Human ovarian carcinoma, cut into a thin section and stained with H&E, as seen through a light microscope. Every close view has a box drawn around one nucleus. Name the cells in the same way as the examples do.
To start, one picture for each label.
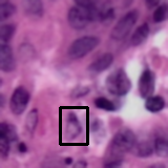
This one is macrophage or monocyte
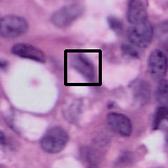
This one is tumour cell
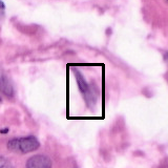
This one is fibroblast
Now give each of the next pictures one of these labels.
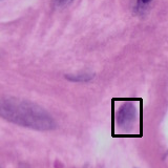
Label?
fibroblast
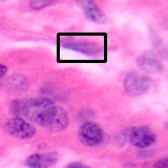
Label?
fibroblast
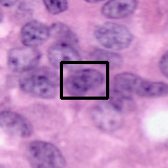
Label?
tumour cell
